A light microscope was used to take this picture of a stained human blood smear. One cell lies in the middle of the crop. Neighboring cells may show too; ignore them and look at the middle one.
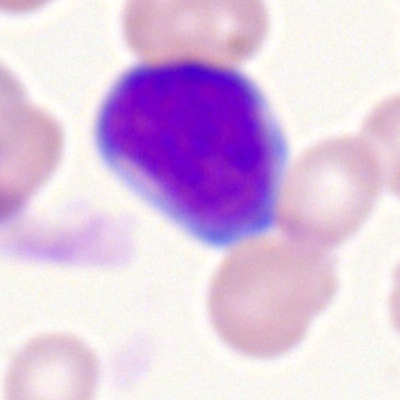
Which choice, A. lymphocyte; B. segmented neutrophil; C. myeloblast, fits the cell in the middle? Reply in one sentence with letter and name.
What option C states is correct, the central cell being a myeloblast.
